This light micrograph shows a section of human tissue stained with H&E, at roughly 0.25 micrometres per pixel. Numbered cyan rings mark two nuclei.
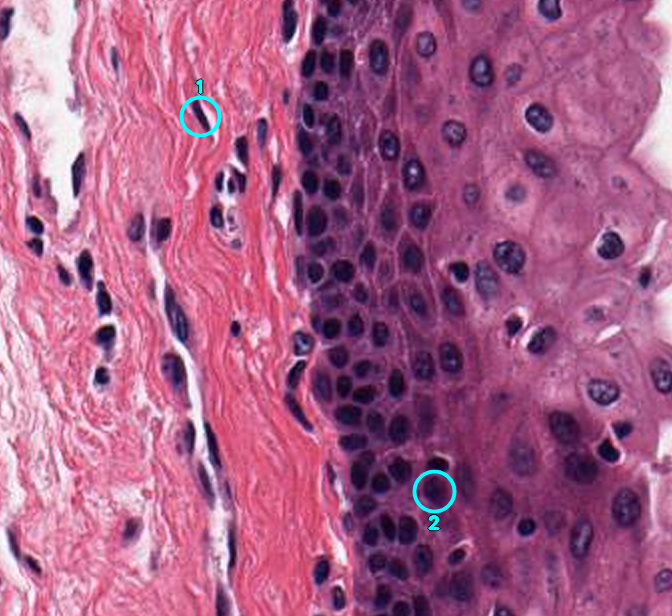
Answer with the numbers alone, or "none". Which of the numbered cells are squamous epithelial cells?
2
